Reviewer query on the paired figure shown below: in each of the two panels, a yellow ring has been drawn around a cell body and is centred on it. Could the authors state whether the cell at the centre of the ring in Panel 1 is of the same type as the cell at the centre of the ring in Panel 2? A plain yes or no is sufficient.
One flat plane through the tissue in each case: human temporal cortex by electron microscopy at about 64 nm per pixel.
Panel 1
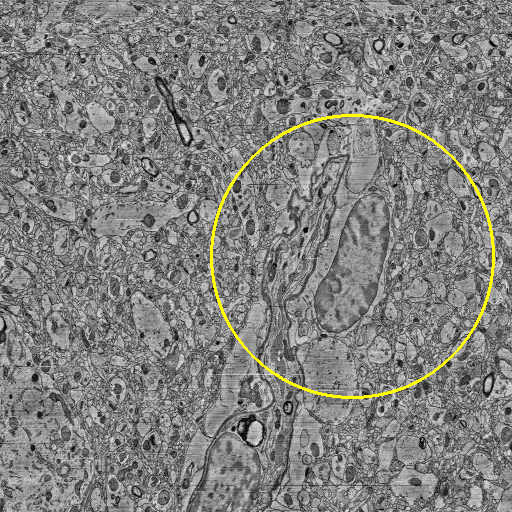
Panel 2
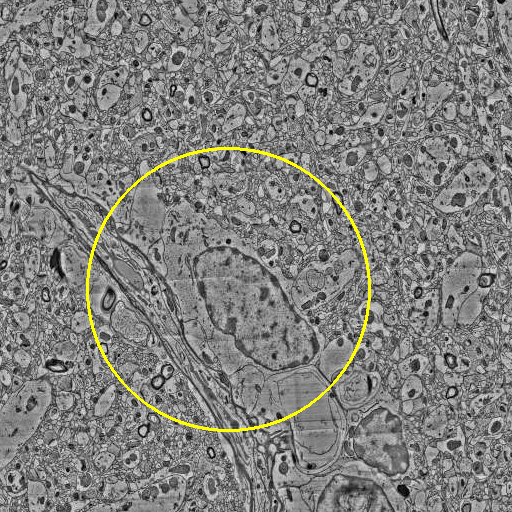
yes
